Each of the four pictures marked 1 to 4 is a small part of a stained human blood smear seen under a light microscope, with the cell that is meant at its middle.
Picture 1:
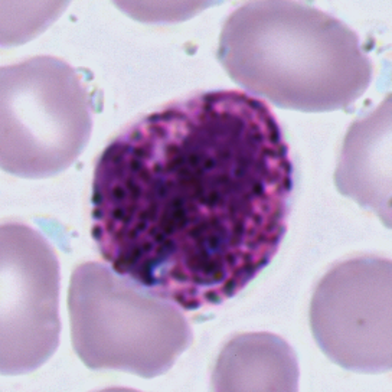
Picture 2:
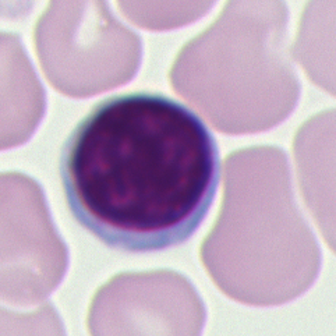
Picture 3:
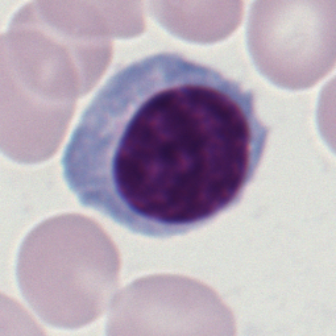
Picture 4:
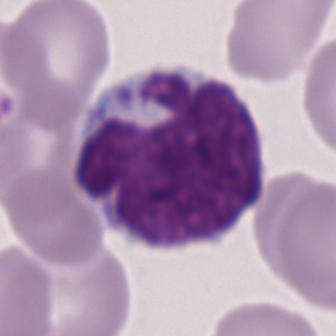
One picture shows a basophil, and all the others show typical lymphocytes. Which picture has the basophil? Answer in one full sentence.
The cell in picture 1 is the basophil.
